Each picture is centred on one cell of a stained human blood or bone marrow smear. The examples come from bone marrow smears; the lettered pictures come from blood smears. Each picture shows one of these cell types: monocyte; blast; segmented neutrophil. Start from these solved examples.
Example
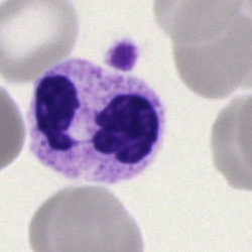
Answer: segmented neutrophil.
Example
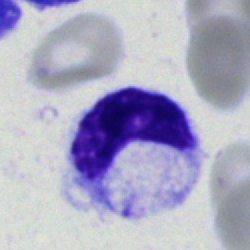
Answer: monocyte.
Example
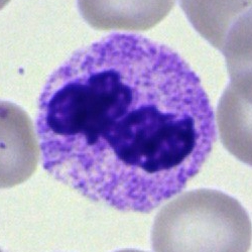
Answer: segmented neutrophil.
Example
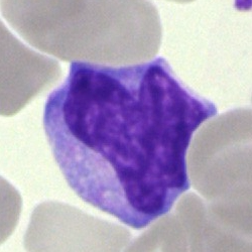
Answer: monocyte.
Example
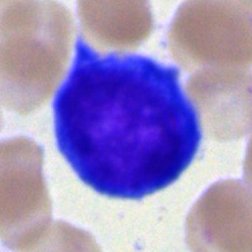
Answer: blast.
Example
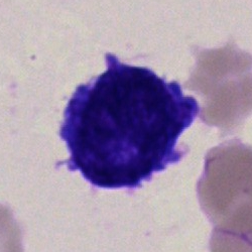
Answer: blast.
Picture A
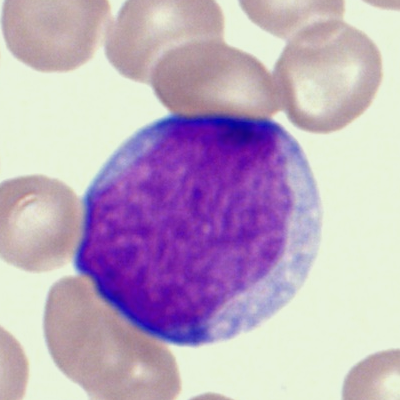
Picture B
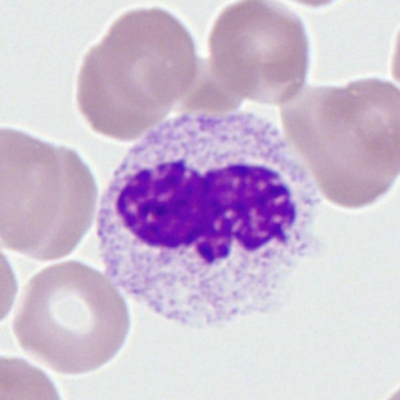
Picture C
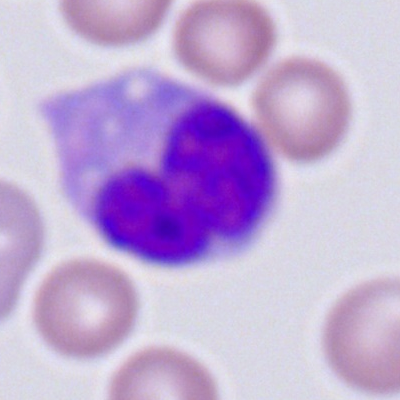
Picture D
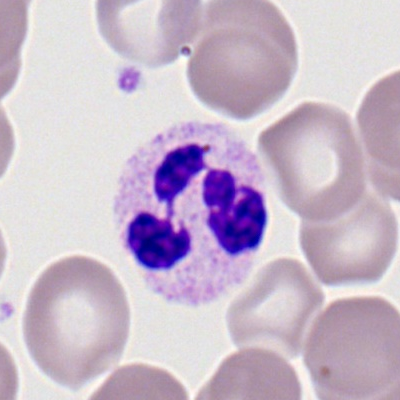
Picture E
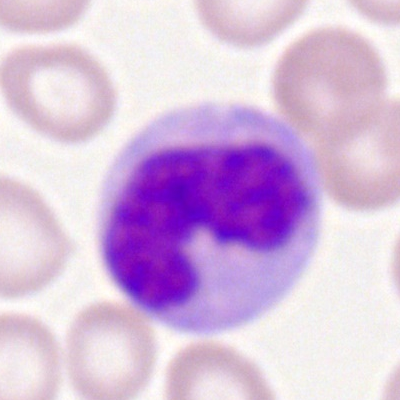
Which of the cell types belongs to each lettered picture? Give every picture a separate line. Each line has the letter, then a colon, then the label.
A: blast.
B: segmented neutrophil.
C: monocyte.
D: segmented neutrophil.
E: monocyte.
